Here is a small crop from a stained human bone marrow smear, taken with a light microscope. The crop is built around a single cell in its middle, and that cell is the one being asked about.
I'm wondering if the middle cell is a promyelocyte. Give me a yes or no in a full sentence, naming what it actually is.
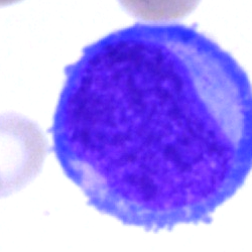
No, the cell in the middle is correctly named a blast, not a promyelocyte.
